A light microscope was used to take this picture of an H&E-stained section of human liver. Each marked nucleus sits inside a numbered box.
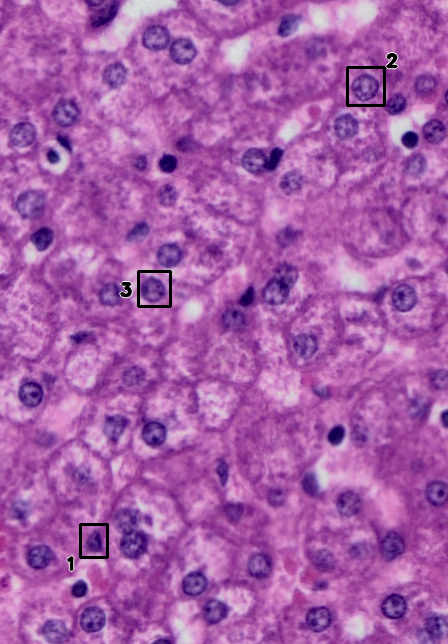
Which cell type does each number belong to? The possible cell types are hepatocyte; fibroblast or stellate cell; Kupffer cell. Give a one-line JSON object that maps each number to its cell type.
{"1": "fibroblast or stellate cell", "2": "hepatocyte", "3": "hepatocyte"}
